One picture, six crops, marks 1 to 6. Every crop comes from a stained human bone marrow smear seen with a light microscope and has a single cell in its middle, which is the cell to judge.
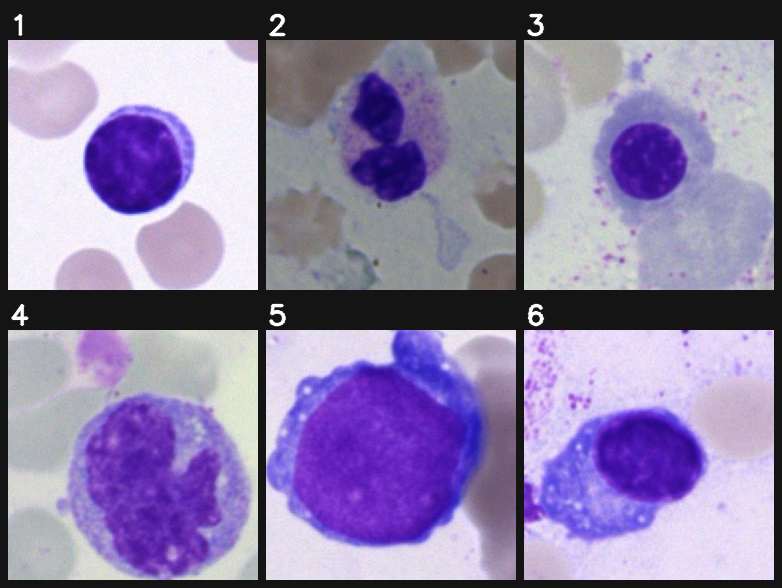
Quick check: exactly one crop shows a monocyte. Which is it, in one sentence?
Crop 4 is the crop that displays a monocyte.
